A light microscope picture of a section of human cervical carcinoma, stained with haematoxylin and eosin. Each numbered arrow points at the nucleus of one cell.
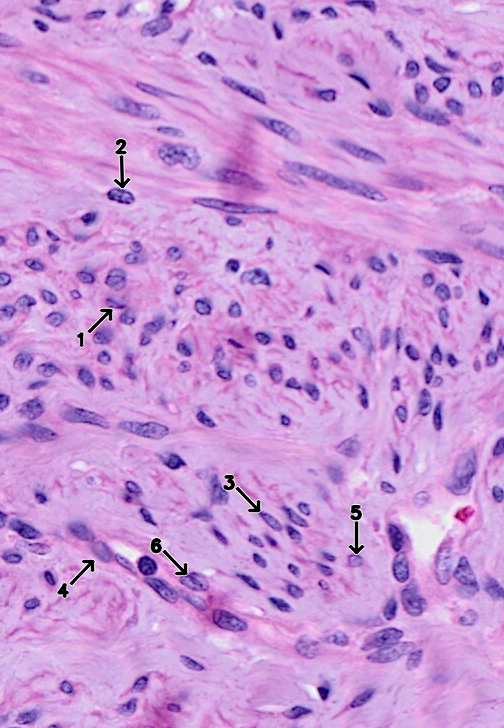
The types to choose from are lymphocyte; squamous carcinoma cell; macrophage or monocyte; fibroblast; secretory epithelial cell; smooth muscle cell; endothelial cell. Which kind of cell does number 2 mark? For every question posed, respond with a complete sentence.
Among the marked cells, number 2 is a lymphocyte.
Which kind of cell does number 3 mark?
Regarding cell 3, this one is a smooth muscle cell.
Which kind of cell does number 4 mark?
Here the cell numbered 4 is an endothelial cell.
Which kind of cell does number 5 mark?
The nucleus with number 5 is that of a smooth muscle cell.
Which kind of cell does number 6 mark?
Belonging to an endothelial cell is the nucleus that carries the number 6.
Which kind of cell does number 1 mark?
The cell with the number 1 is a smooth muscle cell.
